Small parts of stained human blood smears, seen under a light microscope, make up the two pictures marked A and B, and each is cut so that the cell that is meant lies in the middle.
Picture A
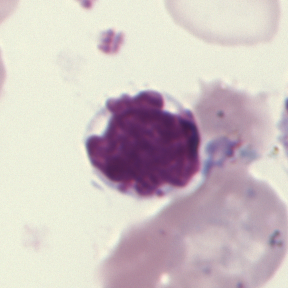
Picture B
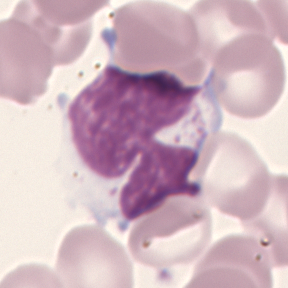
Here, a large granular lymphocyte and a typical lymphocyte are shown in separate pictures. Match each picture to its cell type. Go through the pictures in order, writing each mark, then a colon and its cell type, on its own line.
A: typical lymphocyte
B: large granular lymphocyte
